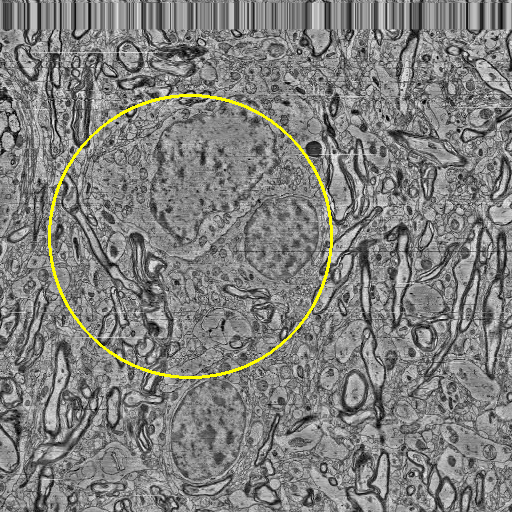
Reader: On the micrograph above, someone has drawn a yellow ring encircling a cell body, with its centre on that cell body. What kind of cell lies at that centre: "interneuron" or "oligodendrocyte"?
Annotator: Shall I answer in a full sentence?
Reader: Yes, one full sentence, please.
Here an interneuron sits at the centre of the yellow ring drawn on the micrograph.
